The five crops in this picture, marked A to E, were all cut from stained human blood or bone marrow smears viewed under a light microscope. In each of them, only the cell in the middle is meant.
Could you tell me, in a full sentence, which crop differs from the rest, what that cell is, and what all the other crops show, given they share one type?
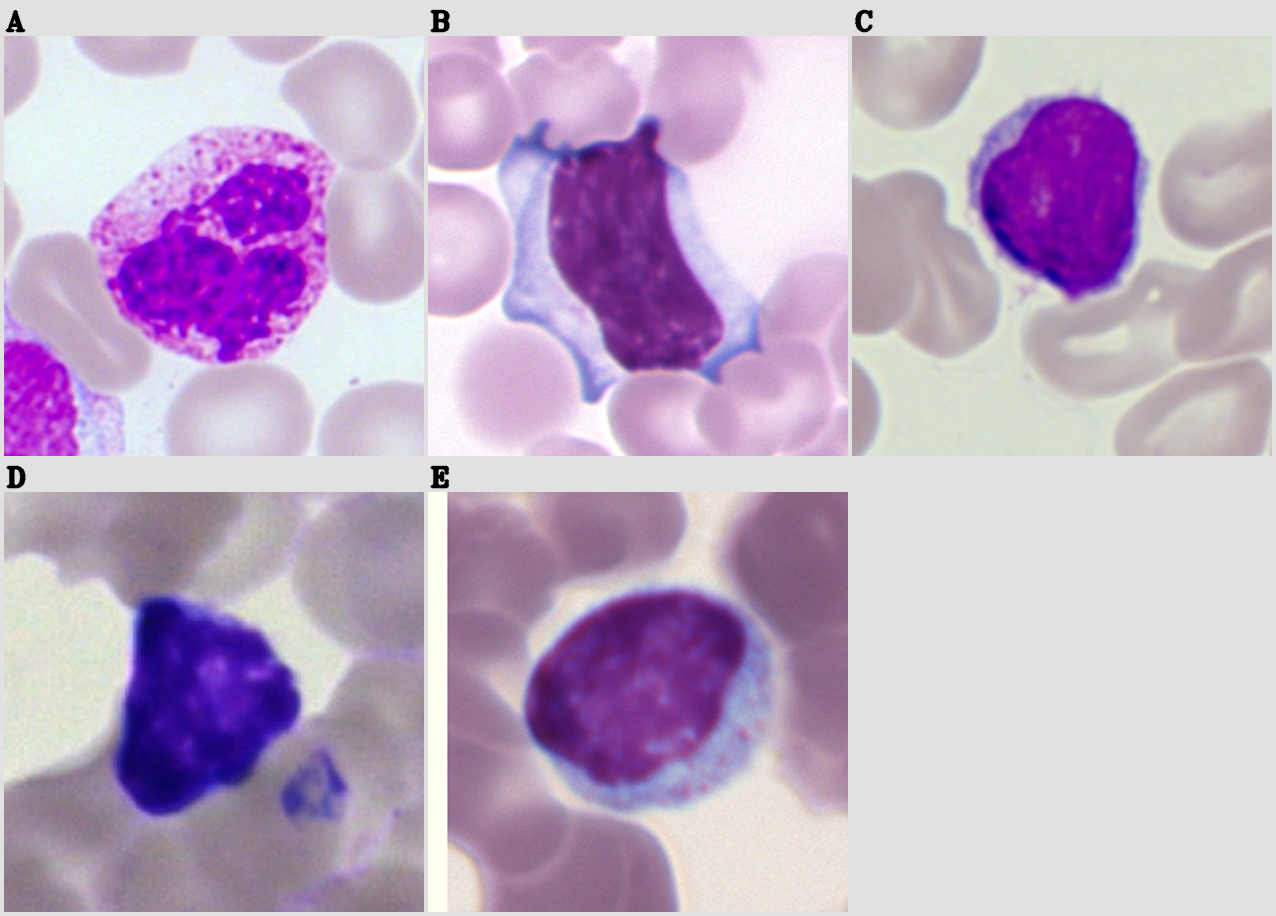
Apart from crop A, a basophil, the crops all show lymphocytes.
